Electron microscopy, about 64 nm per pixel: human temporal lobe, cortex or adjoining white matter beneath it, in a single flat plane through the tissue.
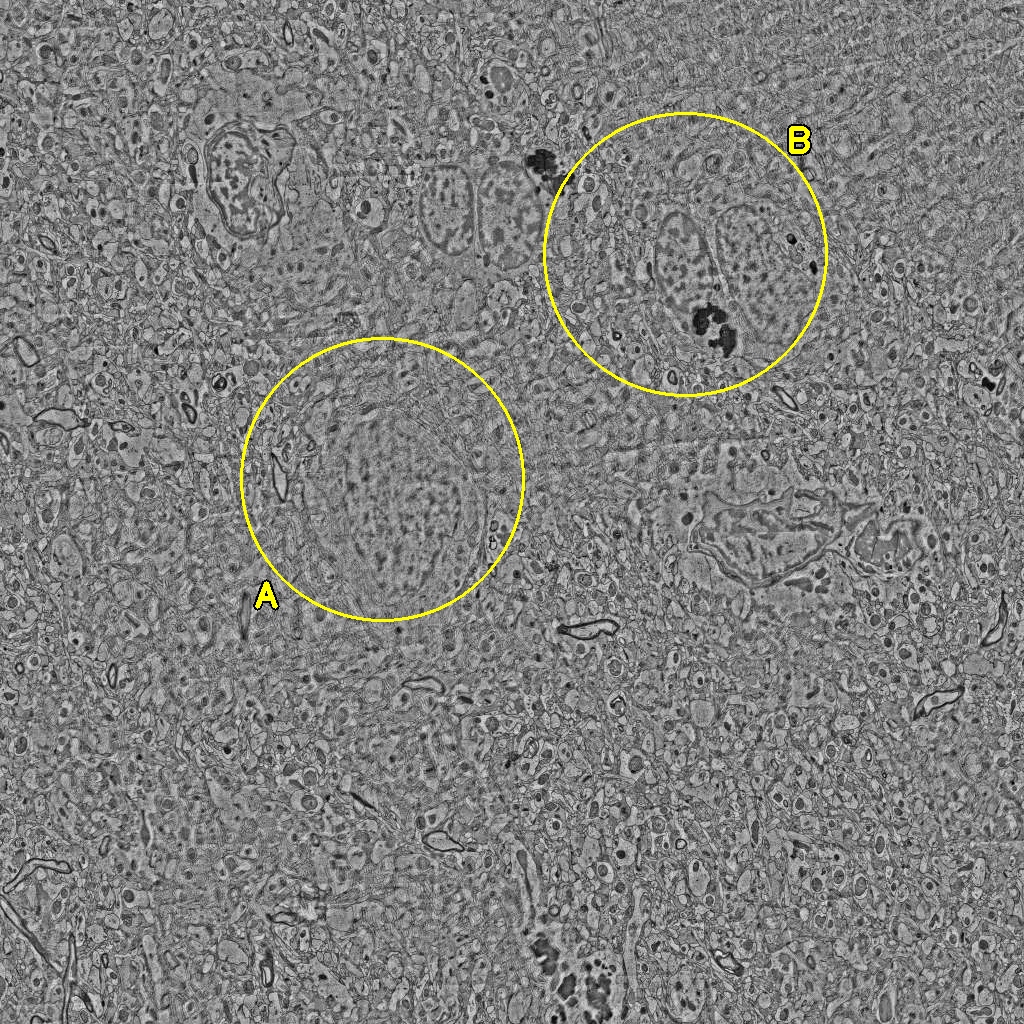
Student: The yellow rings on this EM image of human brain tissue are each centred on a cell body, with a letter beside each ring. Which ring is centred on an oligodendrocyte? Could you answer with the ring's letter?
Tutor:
B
